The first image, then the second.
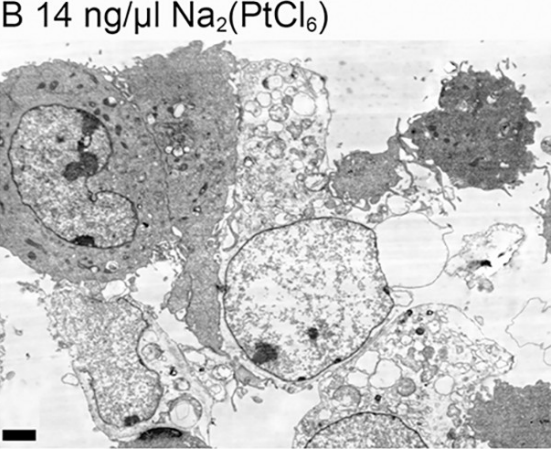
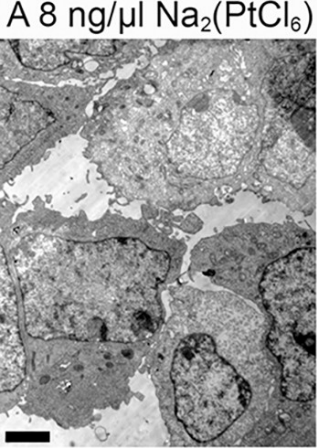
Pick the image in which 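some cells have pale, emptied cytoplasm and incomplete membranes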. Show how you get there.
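The first image. First image: several cells are pale and vacuolated with broken outlines beside darker intact cells.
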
